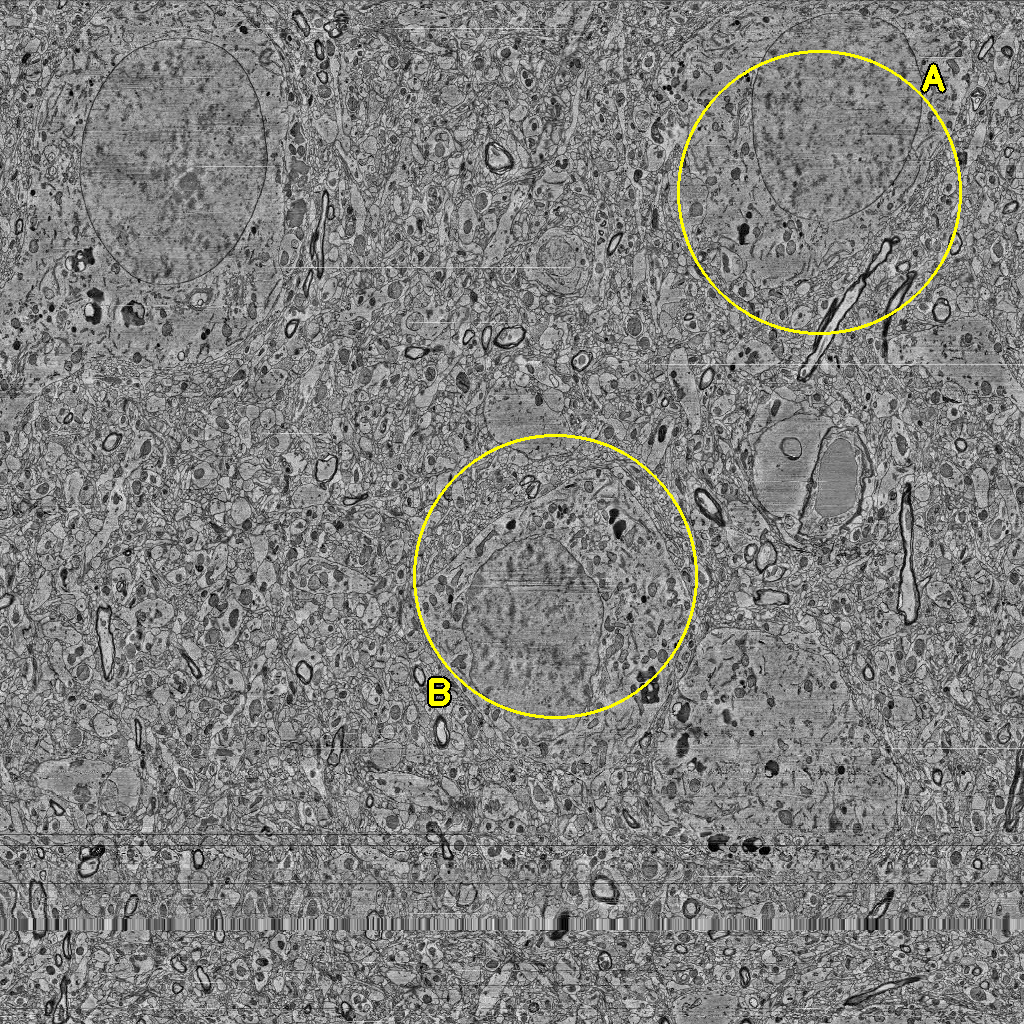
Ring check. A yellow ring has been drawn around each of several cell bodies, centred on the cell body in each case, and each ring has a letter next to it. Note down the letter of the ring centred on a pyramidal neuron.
A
